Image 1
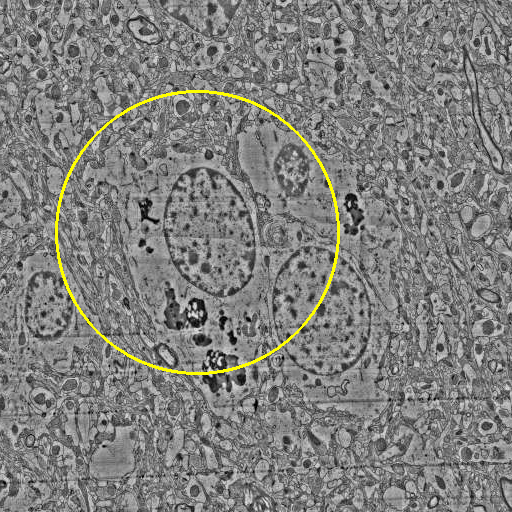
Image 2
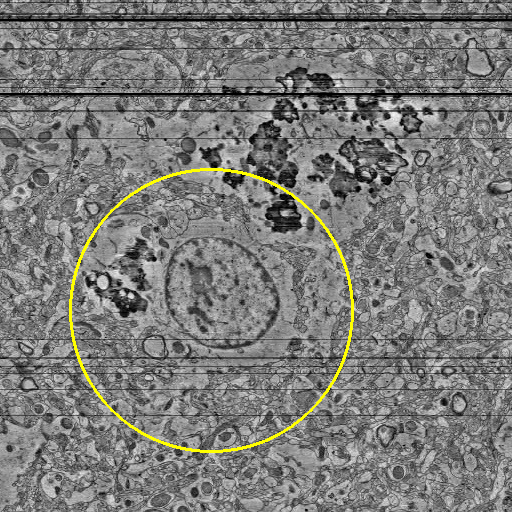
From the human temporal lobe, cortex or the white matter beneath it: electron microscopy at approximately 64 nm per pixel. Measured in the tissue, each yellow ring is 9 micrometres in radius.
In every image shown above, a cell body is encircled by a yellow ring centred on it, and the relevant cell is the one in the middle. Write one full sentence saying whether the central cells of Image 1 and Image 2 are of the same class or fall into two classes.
The cell at the ring's centre in Image 1 and its counterpart in Image 2 are of the same class.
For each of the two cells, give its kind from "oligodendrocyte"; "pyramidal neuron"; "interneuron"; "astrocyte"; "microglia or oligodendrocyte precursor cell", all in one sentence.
Each one of the two ringed cells is an astrocyte.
